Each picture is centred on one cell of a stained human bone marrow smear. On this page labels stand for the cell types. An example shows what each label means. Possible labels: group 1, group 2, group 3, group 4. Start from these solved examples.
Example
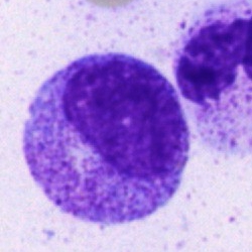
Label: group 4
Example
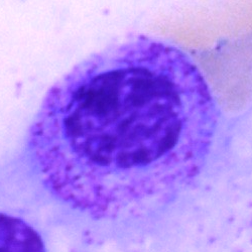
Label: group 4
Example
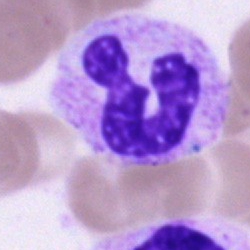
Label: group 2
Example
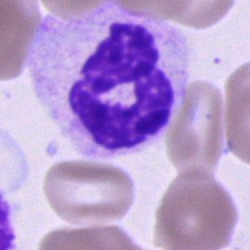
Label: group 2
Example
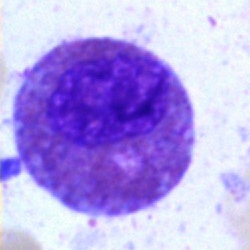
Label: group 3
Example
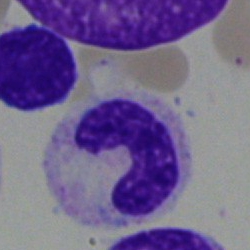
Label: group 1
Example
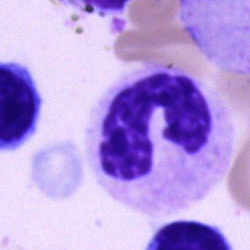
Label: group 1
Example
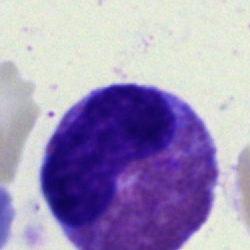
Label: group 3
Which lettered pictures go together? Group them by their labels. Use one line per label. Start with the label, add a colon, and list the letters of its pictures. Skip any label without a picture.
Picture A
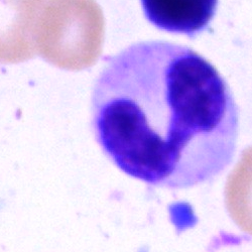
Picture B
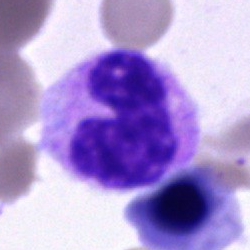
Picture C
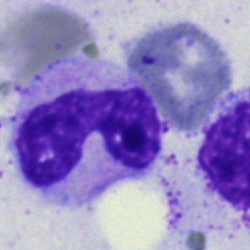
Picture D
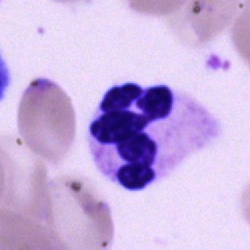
group 1: B, C
group 2: A, D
